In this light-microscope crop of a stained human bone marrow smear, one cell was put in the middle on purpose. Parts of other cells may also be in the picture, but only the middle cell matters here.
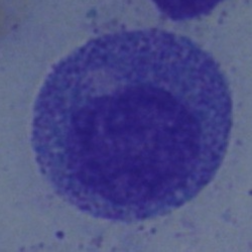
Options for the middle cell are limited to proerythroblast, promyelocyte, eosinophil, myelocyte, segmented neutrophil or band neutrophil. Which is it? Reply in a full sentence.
The cell featured at the centre of this crop is a myelocyte.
